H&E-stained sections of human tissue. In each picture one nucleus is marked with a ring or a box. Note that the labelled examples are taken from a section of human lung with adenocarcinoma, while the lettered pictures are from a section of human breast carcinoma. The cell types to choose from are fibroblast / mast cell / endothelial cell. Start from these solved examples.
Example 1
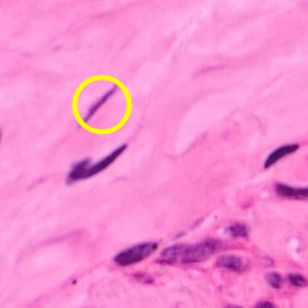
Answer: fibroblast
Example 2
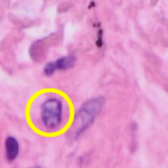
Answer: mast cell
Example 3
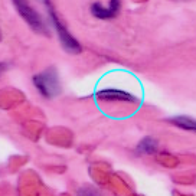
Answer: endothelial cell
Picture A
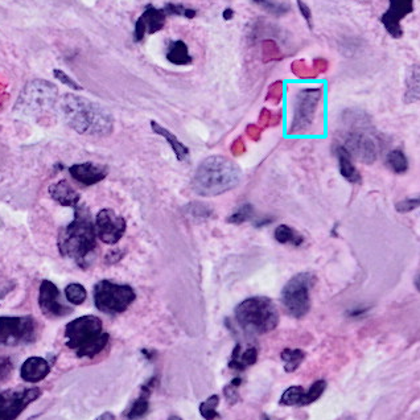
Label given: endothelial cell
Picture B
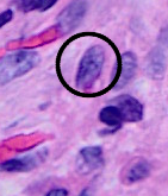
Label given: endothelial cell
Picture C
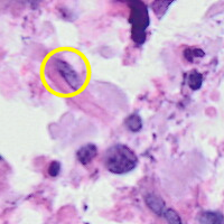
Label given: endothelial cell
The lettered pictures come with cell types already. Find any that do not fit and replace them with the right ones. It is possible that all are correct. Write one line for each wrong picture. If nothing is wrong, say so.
Every label is right.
